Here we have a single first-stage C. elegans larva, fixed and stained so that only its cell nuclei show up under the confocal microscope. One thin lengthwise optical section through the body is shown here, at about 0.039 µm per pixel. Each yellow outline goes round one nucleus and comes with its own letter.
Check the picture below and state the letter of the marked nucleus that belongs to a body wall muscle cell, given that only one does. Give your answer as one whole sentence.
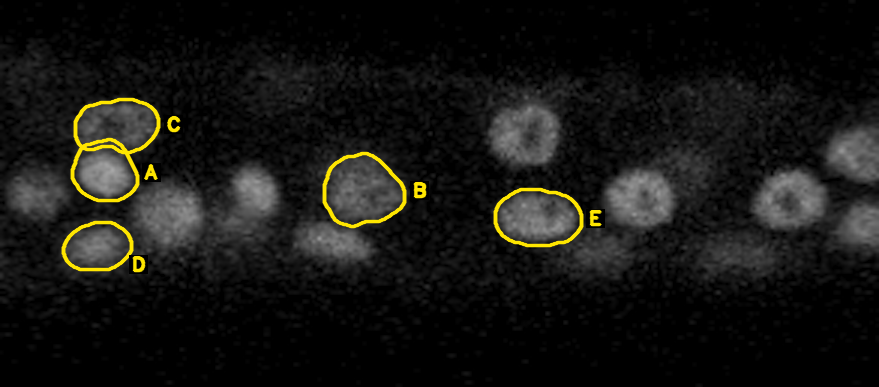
D is the one that belongs to a body wall muscle cell.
